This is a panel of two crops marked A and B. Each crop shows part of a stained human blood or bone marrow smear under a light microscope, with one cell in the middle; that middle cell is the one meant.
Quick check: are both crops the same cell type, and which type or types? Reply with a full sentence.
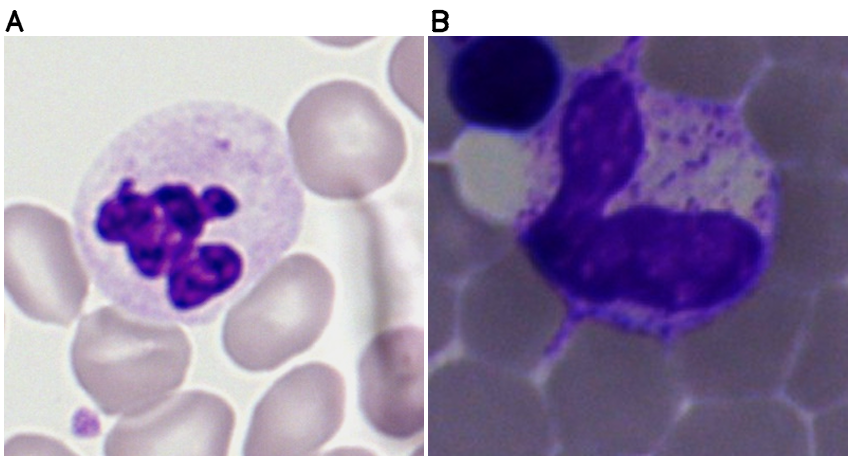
Yes, the two crops both show segmented neutrophils.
